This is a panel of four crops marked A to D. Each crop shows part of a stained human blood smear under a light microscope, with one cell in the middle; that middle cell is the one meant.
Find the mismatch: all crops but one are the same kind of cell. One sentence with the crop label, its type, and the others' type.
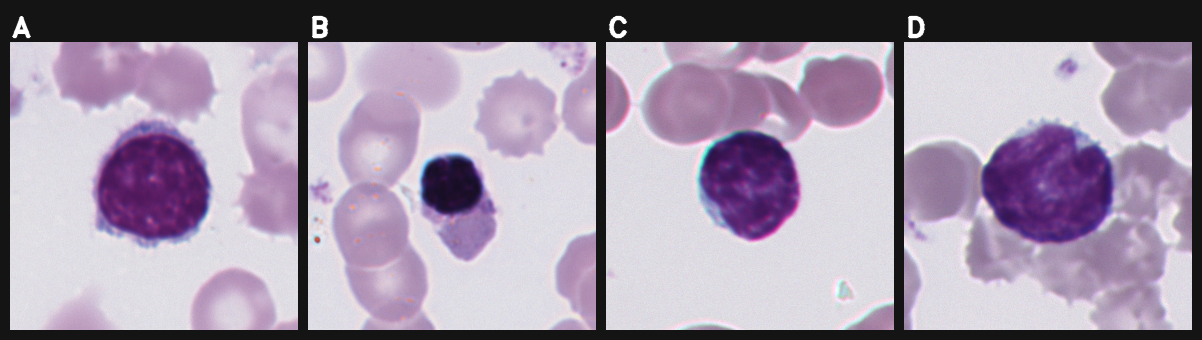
Every crop but one shows lymphocytes; the exception, crop B, shows an erythroblast.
